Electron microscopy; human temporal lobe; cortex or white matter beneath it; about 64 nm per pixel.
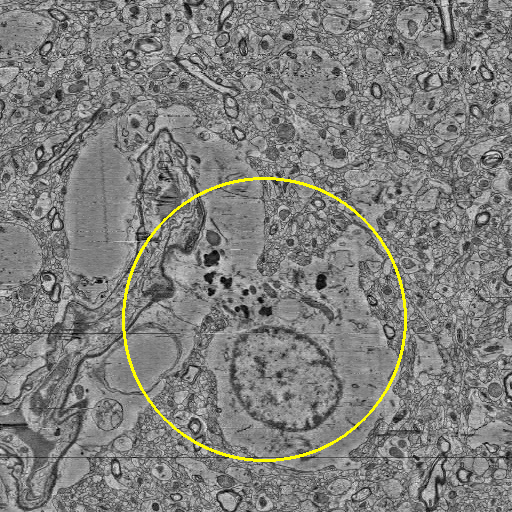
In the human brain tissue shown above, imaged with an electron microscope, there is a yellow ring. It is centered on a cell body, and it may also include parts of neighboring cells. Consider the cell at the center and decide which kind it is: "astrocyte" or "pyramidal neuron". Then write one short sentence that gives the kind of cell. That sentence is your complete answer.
This centered cell body is that of an astrocyte.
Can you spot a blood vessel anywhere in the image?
Yes, a blood vessel shows in the picture.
